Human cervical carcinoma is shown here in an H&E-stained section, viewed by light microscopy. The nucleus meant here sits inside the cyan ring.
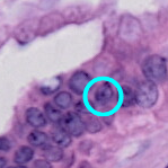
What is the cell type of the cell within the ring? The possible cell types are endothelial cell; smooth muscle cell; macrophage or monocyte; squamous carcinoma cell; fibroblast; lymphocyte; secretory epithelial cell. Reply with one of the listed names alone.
secretory epithelial cell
